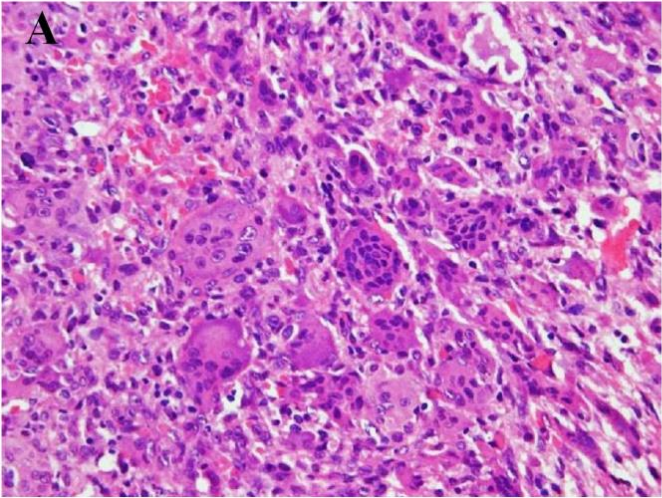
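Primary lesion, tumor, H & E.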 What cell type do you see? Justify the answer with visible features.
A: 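Large cells with abundant pink cytoplasm contain many clustered nuclei. These large cells are scattered across the field.
Hence: multinucleated giant cells.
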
